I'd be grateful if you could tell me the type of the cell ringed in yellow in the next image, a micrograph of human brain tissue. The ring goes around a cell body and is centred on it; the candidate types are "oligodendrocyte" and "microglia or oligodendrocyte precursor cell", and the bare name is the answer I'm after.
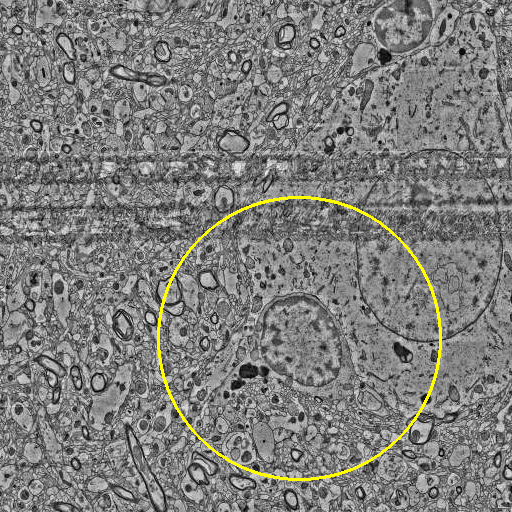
oligodendrocyte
